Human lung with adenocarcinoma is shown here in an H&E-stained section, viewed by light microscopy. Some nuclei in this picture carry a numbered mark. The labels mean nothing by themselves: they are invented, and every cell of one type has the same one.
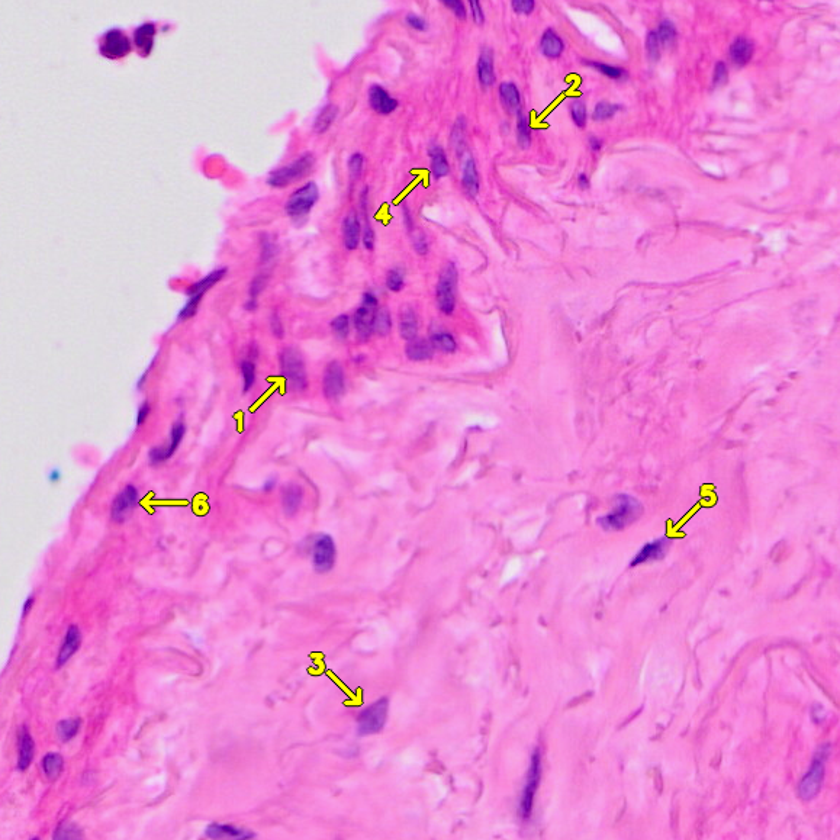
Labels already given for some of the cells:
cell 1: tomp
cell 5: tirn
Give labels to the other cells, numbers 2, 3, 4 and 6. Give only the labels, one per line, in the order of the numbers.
tomp
tirn
tomp
tomp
